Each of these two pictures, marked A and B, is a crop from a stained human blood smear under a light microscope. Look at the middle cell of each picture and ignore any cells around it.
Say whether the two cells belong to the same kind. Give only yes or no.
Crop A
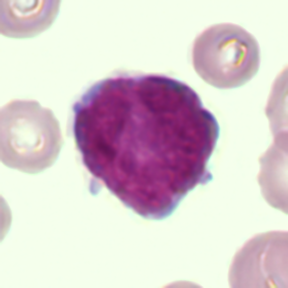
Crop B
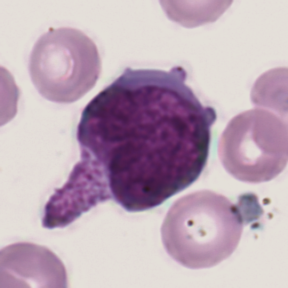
yes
